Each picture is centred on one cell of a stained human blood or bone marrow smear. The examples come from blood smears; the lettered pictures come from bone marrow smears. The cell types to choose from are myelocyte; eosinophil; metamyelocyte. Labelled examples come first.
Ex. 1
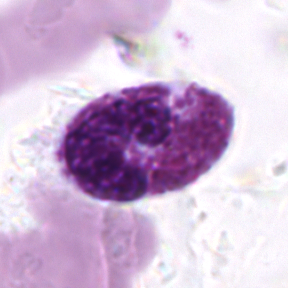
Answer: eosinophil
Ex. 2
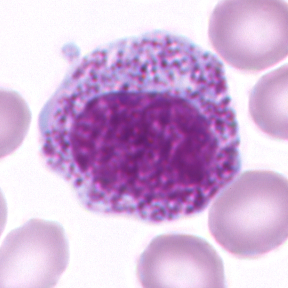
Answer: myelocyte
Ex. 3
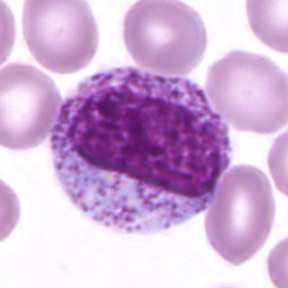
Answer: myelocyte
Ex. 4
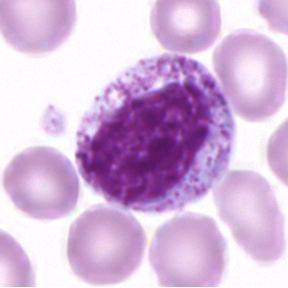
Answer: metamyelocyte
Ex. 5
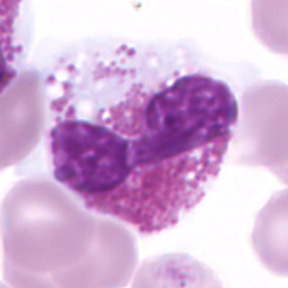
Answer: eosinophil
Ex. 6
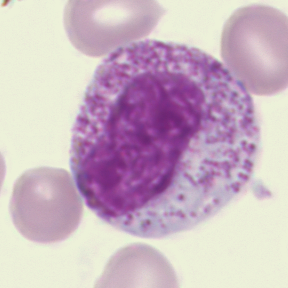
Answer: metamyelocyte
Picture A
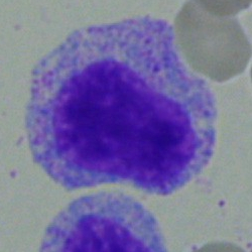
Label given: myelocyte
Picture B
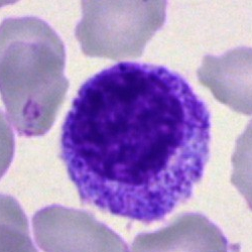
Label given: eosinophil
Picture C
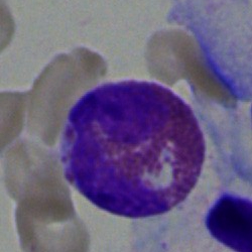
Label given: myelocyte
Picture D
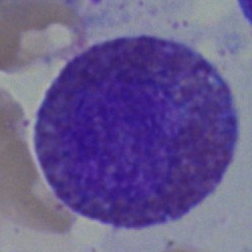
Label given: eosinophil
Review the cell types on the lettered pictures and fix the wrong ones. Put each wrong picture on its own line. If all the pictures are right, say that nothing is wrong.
B is labelled eosinophil; correct label: myelocyte
C is labelled myelocyte; correct label: eosinophil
